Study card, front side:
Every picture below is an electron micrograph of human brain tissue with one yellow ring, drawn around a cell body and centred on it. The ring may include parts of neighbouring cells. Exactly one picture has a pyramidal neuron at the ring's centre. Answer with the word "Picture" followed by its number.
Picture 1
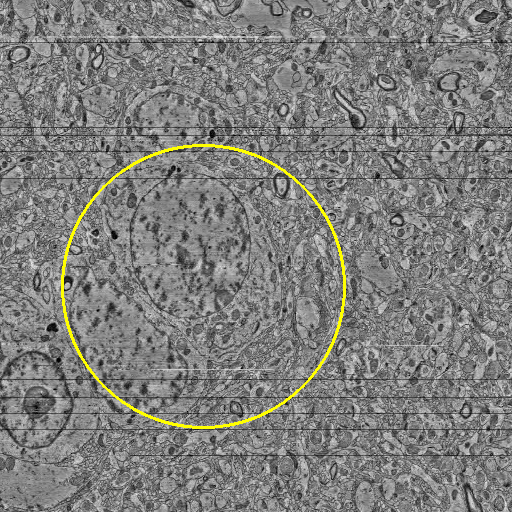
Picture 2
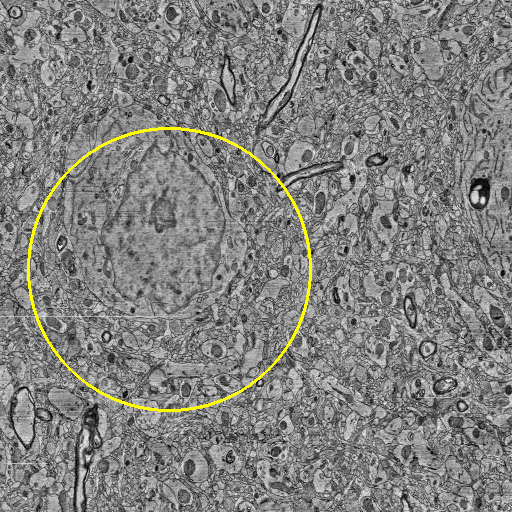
Picture 1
